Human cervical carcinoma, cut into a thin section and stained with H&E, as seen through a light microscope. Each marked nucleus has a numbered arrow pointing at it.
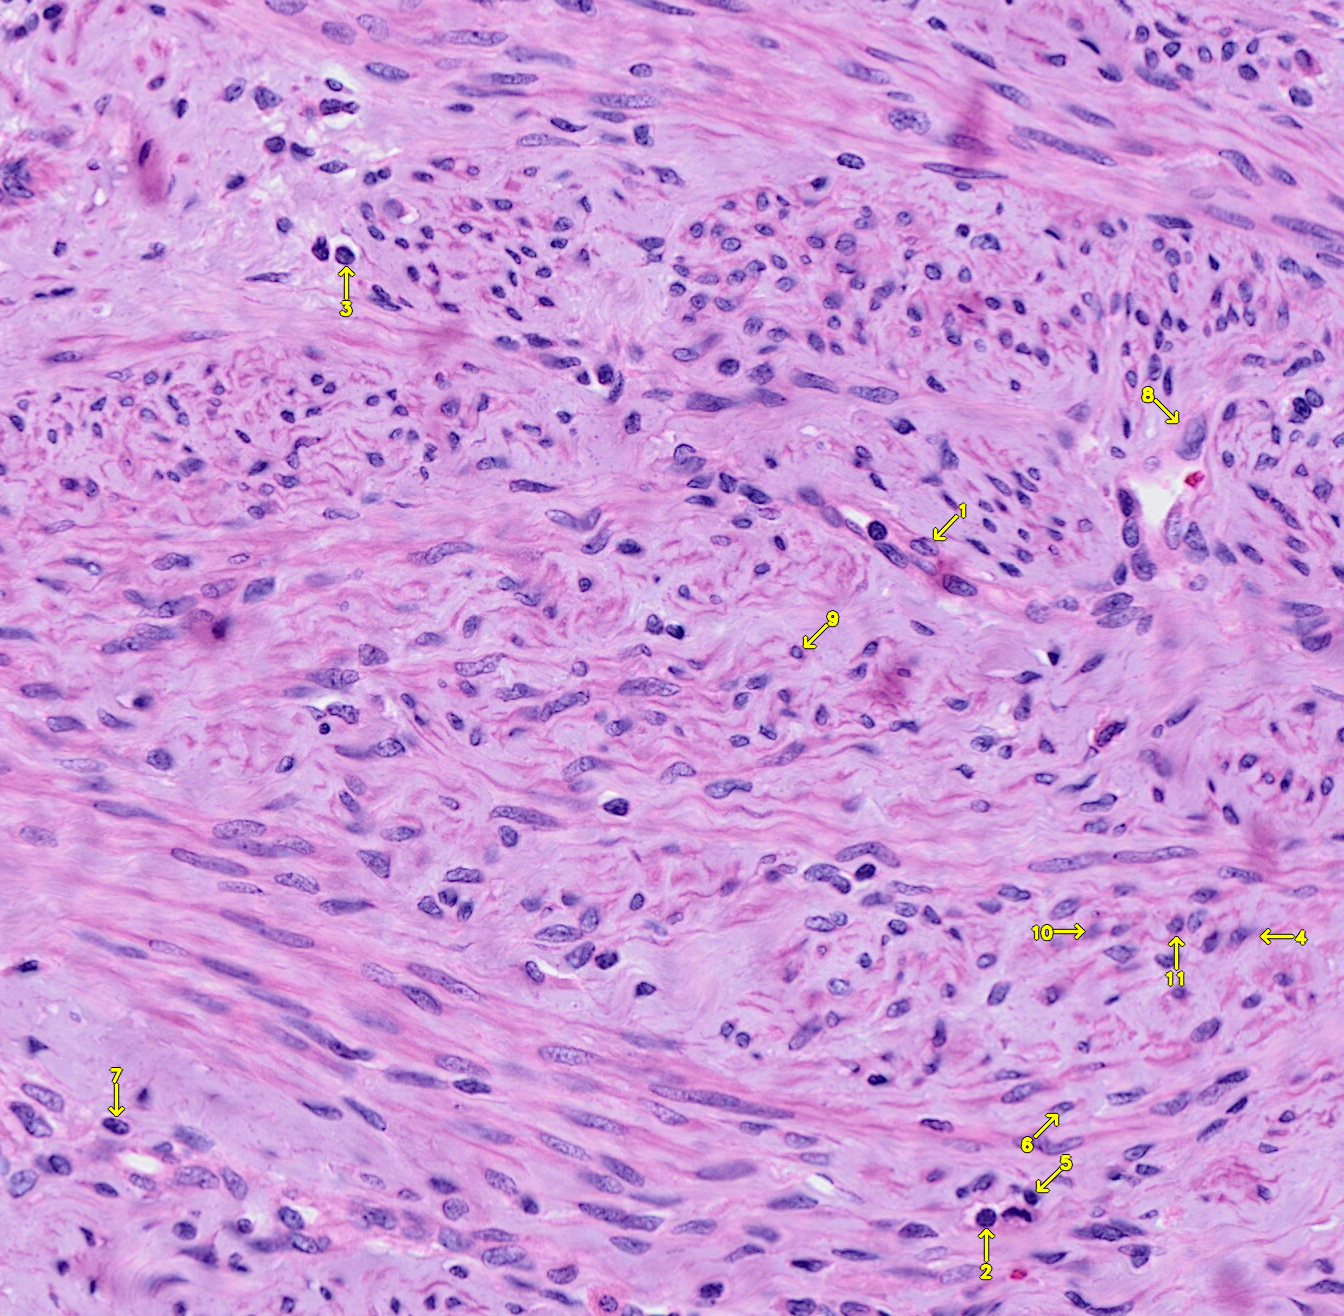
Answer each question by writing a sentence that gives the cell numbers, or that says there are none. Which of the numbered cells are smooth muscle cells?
Cells 4, 6, 9, 10 and 11 are classified as smooth muscle cells.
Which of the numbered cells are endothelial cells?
To be specific, the cells numbered 1 and 8 are endothelial cells.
